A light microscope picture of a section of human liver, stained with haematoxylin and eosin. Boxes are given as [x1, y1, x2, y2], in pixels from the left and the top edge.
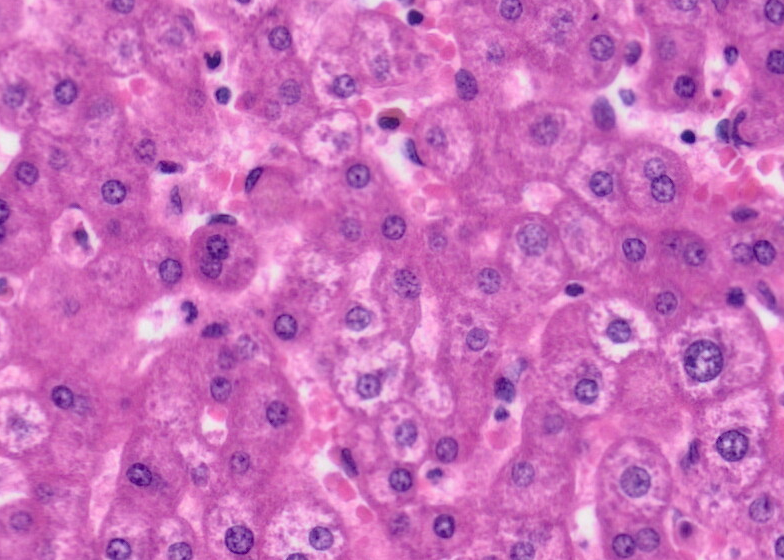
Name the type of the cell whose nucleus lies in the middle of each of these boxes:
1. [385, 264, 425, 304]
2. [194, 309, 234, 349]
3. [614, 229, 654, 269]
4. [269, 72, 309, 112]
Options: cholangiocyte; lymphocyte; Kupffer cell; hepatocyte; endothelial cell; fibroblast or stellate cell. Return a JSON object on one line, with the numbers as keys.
{"1": "hepatocyte", "2": "fibroblast or stellate cell", "3": "hepatocyte", "4": "hepatocyte"}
